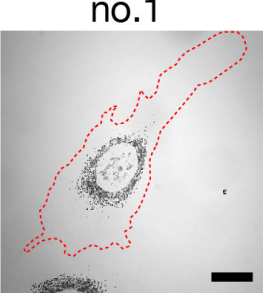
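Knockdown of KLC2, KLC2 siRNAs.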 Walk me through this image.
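An unstained melanocyte whose border is traced by a red dashed line is seen in bright field. Its dark pigment granules, the melanosomes, are packed in a dense ring around the pale oval nucleus, while the broad peripheral cytoplasm within the outline is nearly clear of granules.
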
